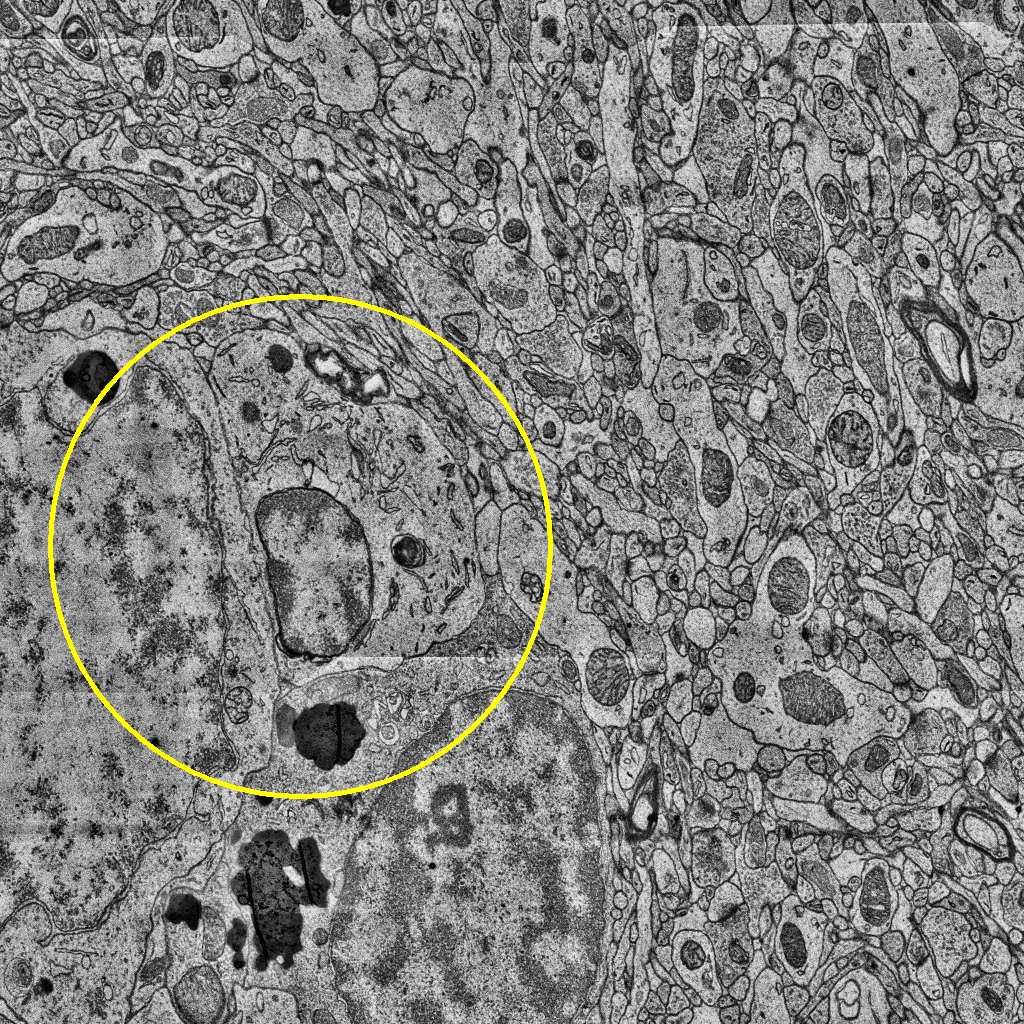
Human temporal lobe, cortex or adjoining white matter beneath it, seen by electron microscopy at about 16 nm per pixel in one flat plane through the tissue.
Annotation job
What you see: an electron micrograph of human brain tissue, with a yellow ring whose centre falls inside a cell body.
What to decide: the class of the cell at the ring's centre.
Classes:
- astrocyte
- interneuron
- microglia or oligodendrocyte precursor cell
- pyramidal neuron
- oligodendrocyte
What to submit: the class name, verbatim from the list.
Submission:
microglia or oligodendrocyte precursor cell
